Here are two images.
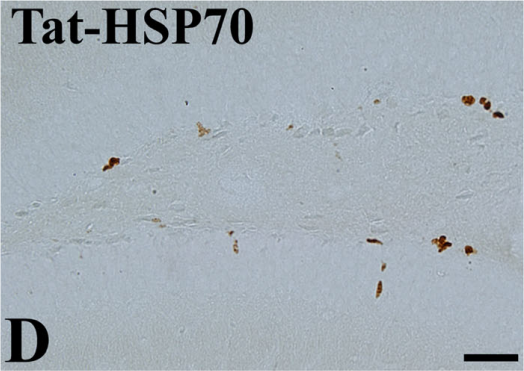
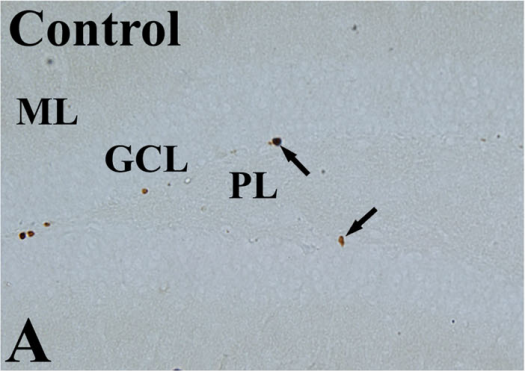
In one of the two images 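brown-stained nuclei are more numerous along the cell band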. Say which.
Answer: The first image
